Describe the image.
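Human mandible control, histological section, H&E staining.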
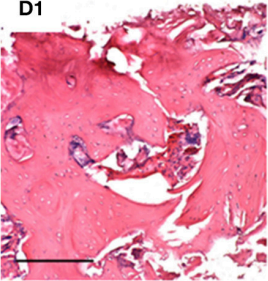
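Section of bone with a pink-stained matrix broken up by irregular cavities. The central cavity holds loose tissue with clustered purple nuclei. Smaller rounded holes lie in the matrix around it. The upper edge of the section is fragmented into jagged pink pieces with purple-stained material between them.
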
